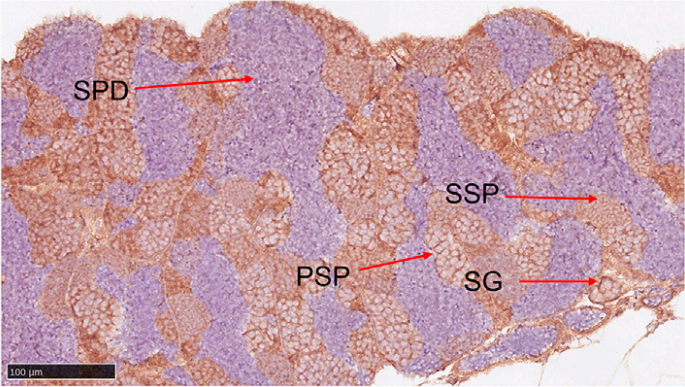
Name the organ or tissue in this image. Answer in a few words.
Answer: Testis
